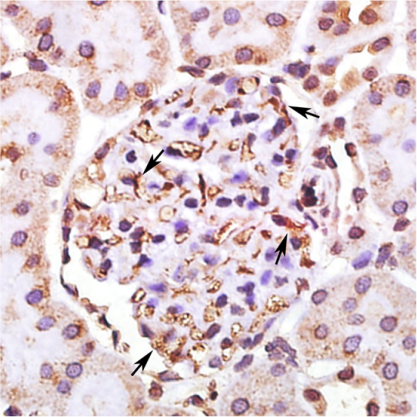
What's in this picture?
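This is a kidney glomerulus surrounded by tubules, with many cells of the capillary tuft carrying coarse brown granular stain between blue-purple nuclei. The brown deposits are spread across much of the tuft and along its edge near the capsule. The surrounding tubular epithelial cells show a finer brown granular stain in their cytoplasm, and some of their nuclei are darkly stained.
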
